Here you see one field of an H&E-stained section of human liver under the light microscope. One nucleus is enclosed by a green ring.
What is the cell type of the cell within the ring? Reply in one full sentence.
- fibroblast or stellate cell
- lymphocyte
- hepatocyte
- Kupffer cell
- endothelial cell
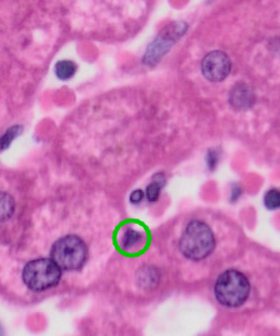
Microscopically, the cell within the ring is categorized as a fibroblast or stellate cell.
